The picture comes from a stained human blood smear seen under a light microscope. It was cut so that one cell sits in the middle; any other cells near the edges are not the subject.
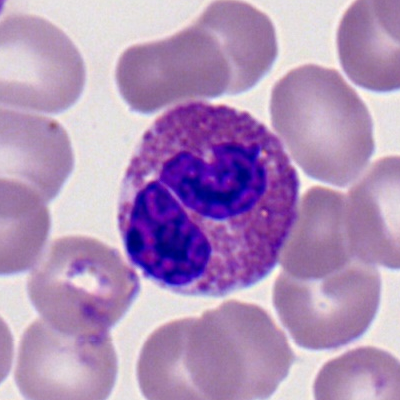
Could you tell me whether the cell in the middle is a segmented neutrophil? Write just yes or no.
no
